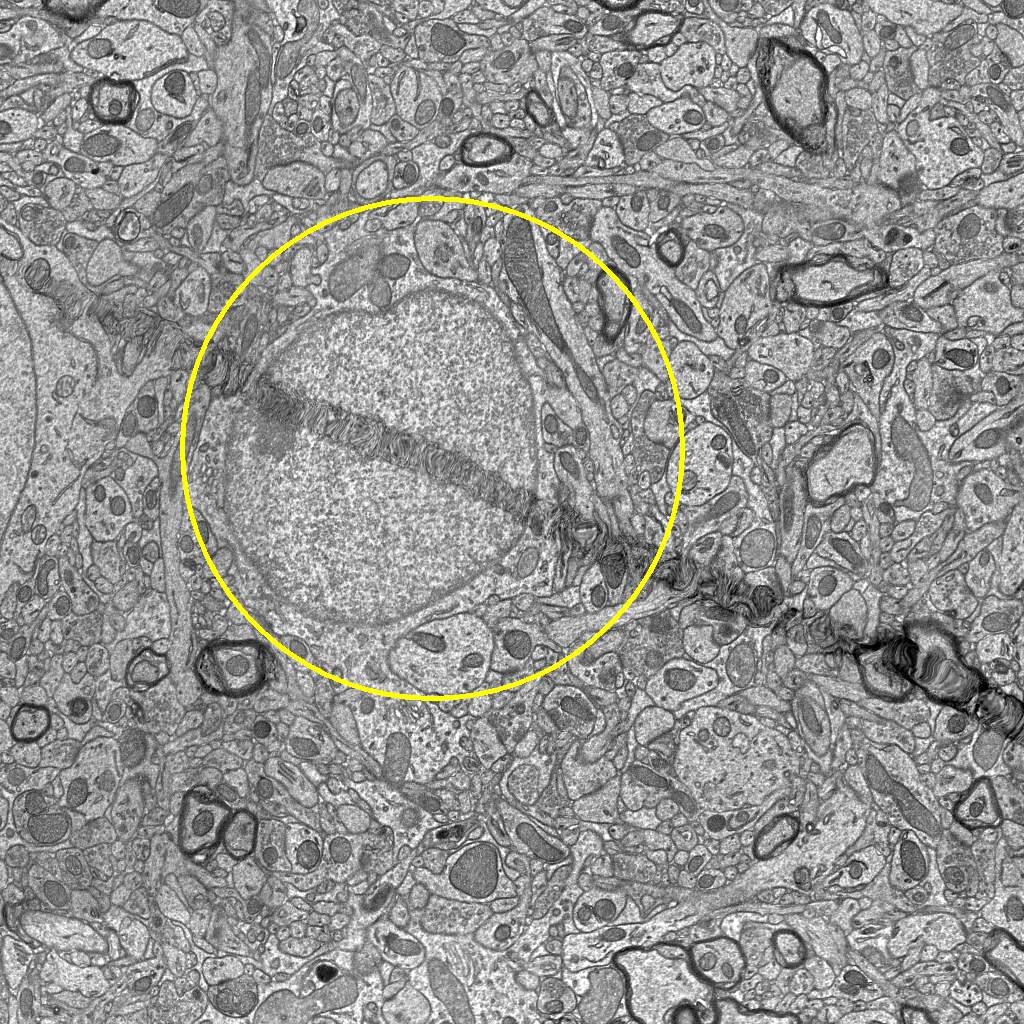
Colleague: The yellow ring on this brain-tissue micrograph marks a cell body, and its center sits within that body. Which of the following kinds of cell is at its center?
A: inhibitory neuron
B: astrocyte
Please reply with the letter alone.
B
